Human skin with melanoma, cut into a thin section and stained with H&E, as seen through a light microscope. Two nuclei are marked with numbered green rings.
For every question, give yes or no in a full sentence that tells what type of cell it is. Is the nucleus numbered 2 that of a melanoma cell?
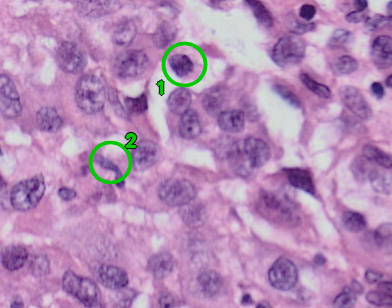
No, cell 2 does not represent a melanoma cell; it represents a macrophage or monocyte.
